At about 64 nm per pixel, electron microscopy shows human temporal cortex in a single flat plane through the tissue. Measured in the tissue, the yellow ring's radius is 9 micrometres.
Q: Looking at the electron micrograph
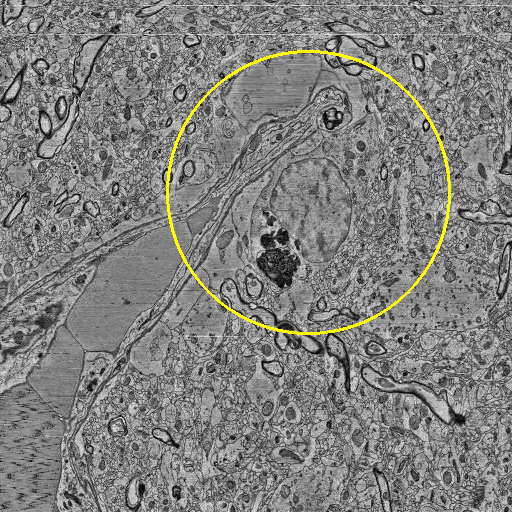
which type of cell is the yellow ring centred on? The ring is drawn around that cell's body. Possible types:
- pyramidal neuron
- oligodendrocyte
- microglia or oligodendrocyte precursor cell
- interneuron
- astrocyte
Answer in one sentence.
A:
The yellow ring is centred on an oligodendrocyte.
